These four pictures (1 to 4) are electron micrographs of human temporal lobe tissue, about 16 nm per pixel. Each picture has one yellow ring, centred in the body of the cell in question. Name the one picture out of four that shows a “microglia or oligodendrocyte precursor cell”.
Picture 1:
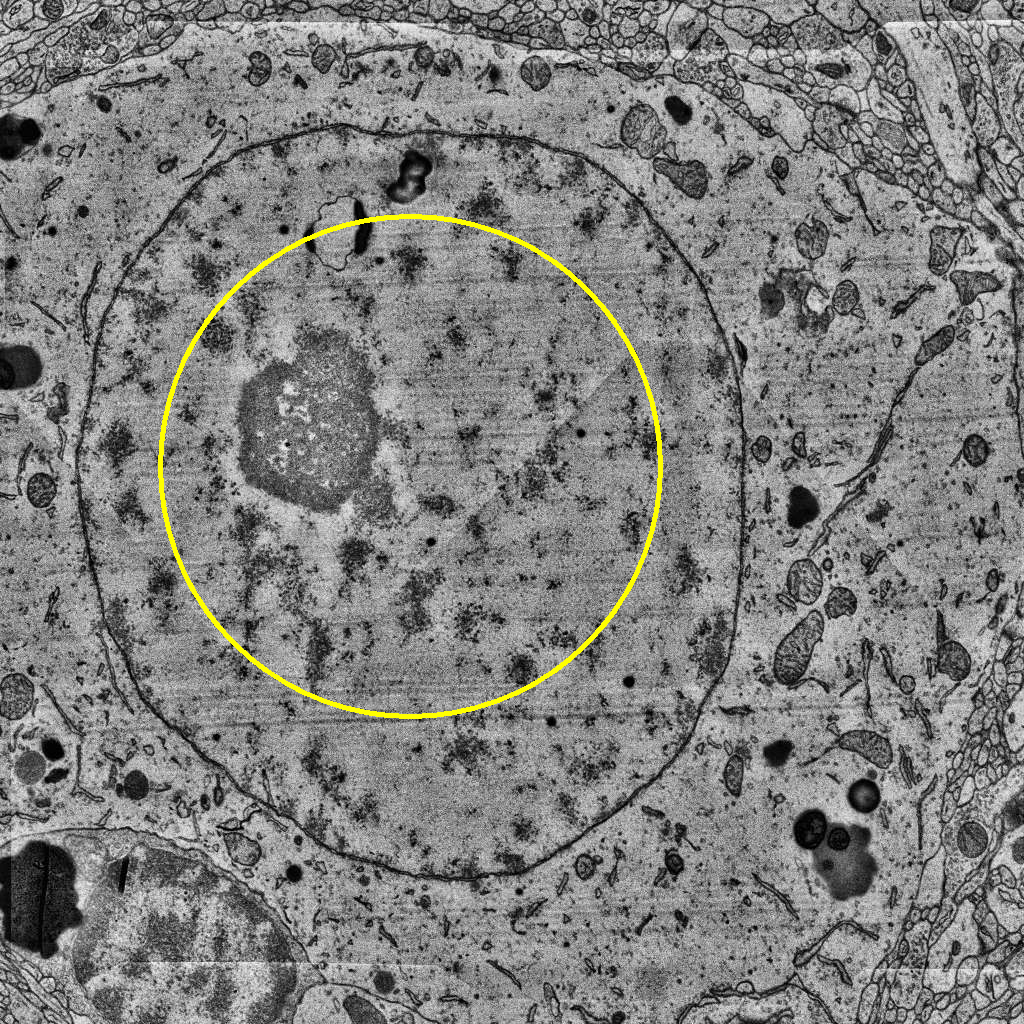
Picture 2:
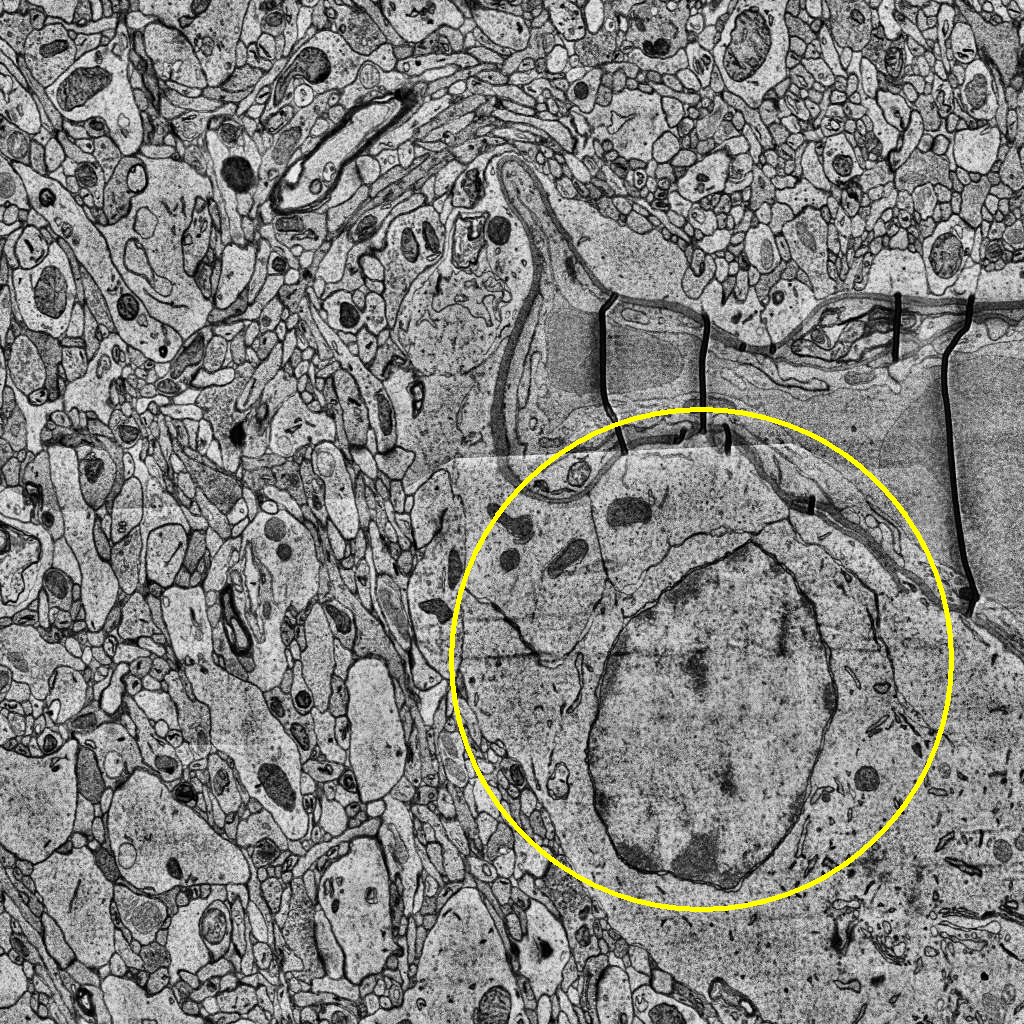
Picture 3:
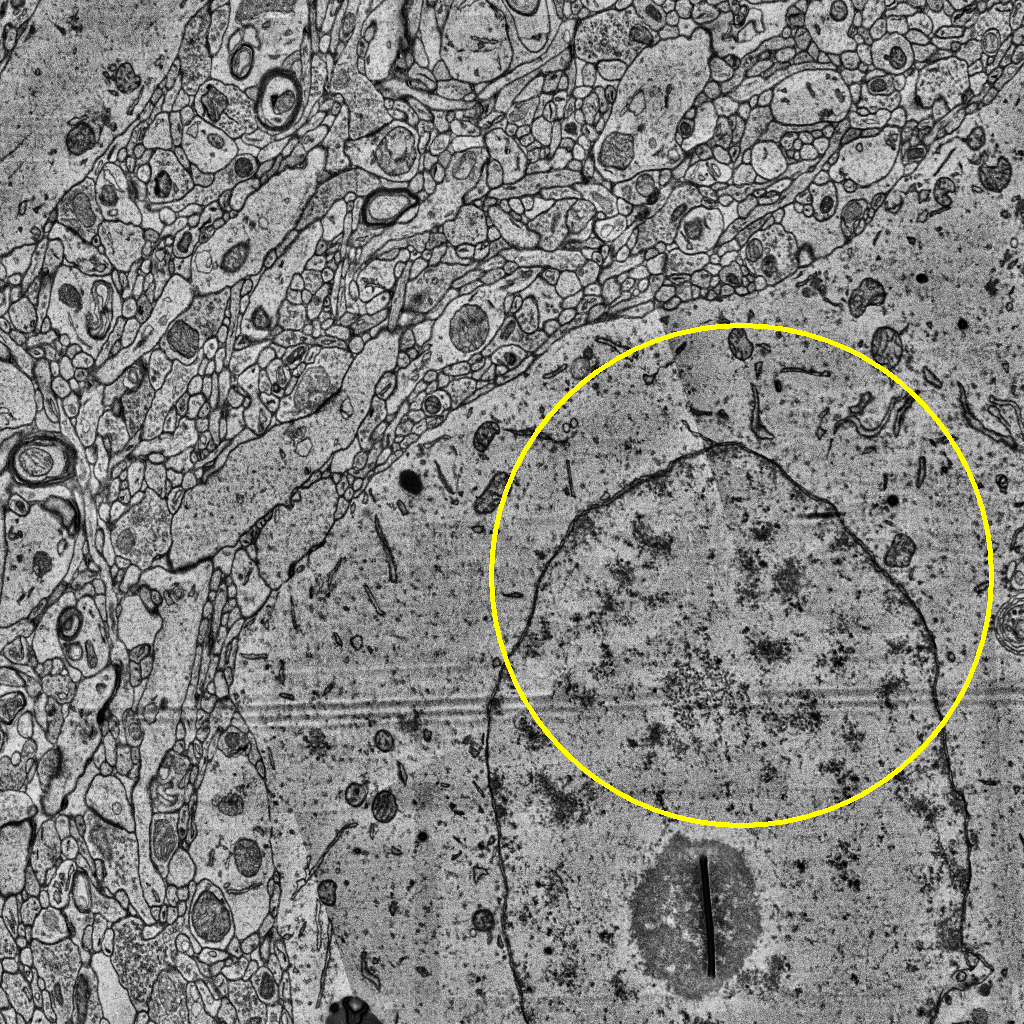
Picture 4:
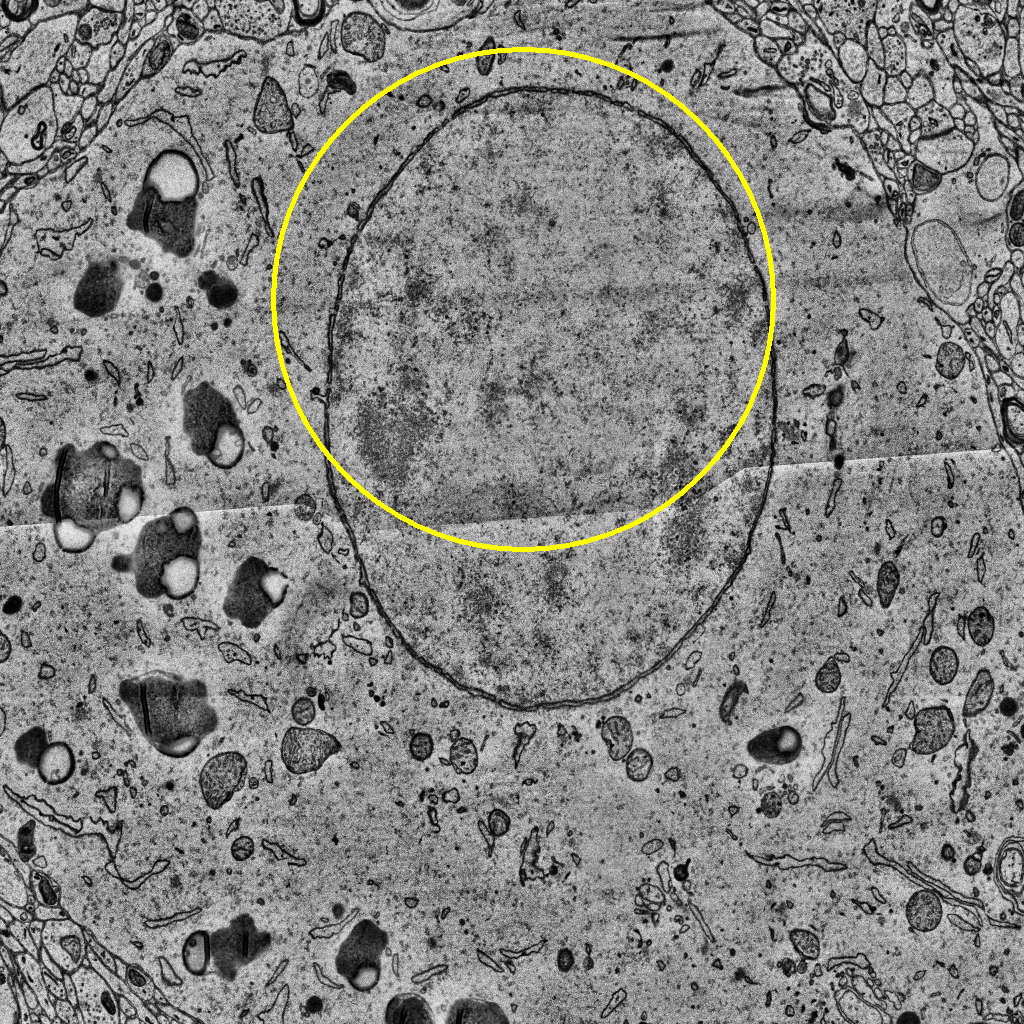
The “microglia or oligodendrocyte precursor cell” is the one in picture 2.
